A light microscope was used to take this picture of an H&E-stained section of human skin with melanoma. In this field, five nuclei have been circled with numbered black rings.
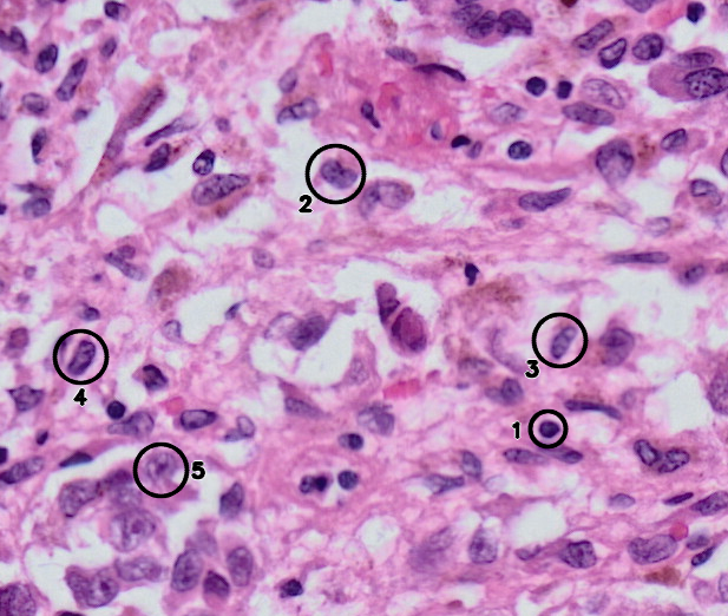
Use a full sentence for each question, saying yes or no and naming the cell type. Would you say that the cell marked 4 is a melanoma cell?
No, the cell at marker 4 is not a melanoma cell; it is a macrophage or monocyte.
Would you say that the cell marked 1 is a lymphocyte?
Yes, the numbered cell 1 is identified as a lymphocyte.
